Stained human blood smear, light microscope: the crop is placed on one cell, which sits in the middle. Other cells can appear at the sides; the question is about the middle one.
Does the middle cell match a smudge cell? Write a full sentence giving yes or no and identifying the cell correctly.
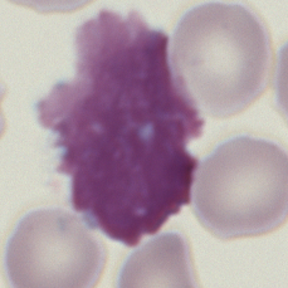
Yes, the middle cell in this crop is a smudge cell.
